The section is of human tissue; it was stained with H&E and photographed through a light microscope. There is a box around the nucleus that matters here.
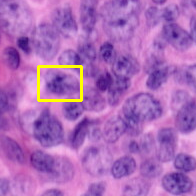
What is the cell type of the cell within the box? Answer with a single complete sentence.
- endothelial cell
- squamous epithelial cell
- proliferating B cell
In the context of this tissue, the cell within the box is a proliferating B cell.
